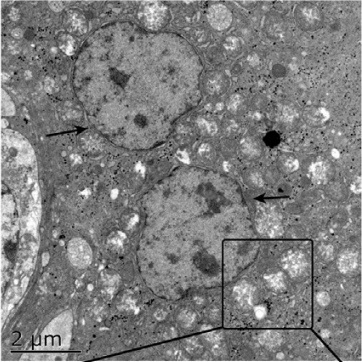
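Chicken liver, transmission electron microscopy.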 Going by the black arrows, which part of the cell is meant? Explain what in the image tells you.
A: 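Two arrows touch the thin dark line bounding two round nuclei. The nuclei are lighter grey and finely granular compared with the surrounding cytoplasm. On this evidence: nuclear membrane.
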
